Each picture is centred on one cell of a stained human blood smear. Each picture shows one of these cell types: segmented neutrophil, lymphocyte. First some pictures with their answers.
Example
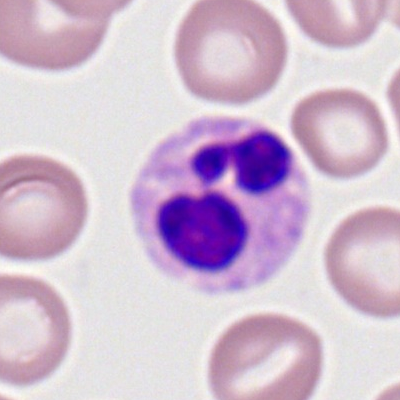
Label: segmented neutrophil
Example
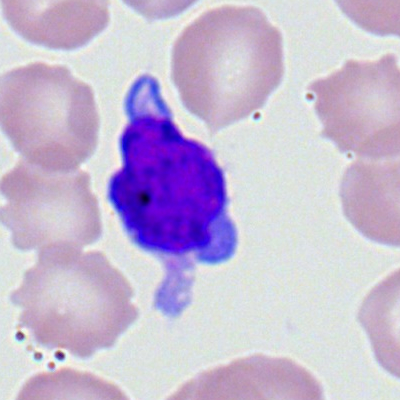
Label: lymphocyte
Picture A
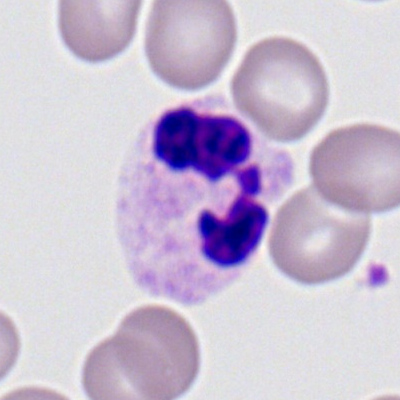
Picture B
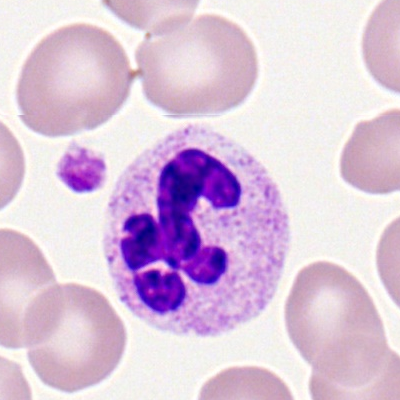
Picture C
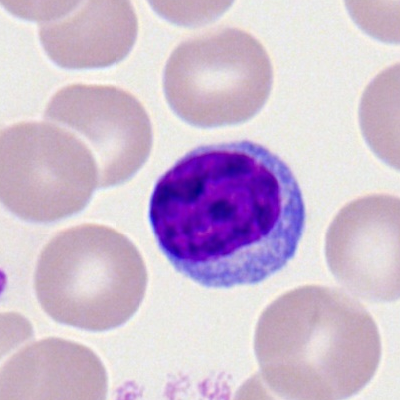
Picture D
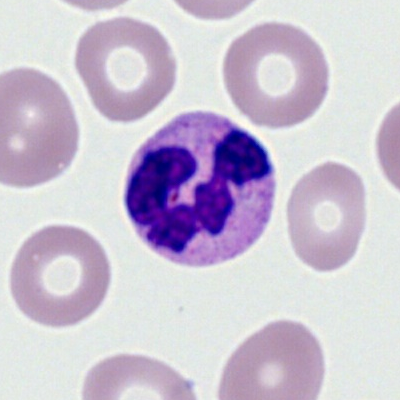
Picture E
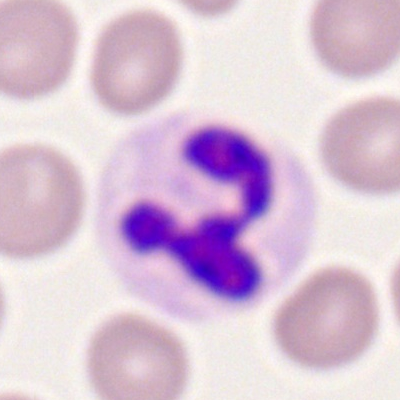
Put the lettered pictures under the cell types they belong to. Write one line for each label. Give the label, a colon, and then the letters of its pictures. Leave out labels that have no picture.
segmented neutrophil: A, B, D, E
lymphocyte: C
